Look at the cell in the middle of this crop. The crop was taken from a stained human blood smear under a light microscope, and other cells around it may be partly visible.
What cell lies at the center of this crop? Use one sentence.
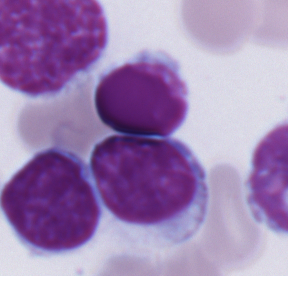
Centred in the crop is a blast.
